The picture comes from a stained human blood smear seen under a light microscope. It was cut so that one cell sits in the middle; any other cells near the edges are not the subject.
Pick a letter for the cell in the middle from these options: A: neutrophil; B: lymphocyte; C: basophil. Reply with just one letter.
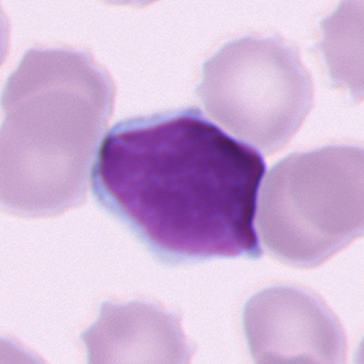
B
